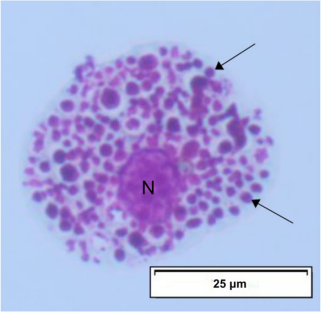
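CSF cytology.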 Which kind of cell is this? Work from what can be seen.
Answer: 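Macrophages. Cytoplasm is crowded with dark purple granules of varying shape. A single purple nucleus lies in the lower middle.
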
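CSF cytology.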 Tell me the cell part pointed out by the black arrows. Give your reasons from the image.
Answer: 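The arrows point to dark purple bodies in the cytoplasm. Many such irregular bodies surround the nucleus.
Conclusion: characteristic inclusion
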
